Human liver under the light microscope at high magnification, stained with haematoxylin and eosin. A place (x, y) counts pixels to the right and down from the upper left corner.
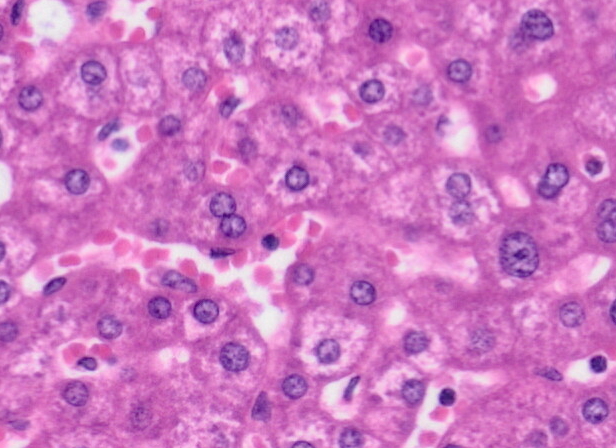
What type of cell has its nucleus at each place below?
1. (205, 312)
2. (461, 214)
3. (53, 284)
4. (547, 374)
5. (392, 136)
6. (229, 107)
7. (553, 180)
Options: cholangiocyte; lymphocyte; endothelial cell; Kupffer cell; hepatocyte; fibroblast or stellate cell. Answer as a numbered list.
1. hepatocyte
2. hepatocyte
3. Kupffer cell
4. fibroblast or stellate cell
5. hepatocyte
6. Kupffer cell
7. hepatocyte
